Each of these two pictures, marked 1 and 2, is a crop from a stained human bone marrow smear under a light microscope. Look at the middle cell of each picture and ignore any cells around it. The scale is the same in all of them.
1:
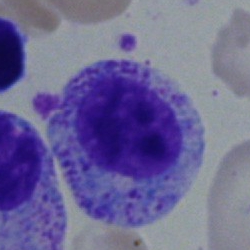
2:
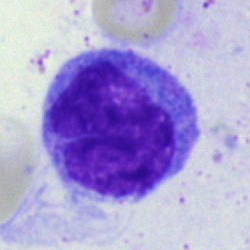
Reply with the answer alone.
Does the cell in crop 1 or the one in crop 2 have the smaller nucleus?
1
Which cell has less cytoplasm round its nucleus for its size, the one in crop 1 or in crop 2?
2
